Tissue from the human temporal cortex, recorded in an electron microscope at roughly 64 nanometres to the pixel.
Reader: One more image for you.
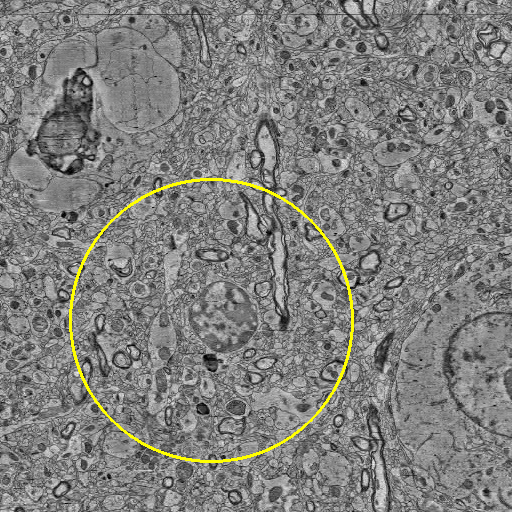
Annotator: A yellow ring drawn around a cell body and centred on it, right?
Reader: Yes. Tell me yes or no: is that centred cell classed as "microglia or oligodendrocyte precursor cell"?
yes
